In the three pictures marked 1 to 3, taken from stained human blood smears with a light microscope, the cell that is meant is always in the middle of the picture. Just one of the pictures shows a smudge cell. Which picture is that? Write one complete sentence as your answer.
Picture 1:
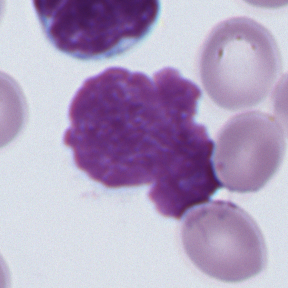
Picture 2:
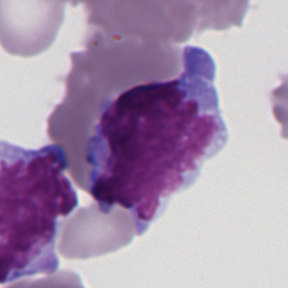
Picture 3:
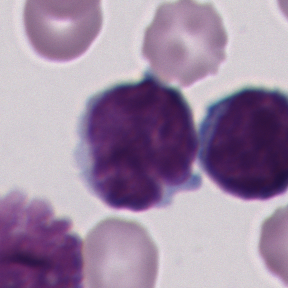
It is picture 1 that shows the smudge cell.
